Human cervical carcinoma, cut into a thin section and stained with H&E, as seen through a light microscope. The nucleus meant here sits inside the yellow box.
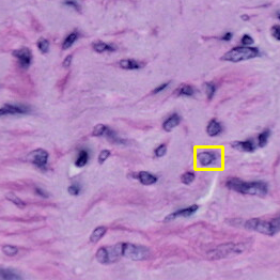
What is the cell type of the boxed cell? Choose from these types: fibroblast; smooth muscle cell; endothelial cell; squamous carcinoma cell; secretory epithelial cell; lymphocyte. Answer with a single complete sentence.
For cell typing purposes, the boxed cell is a smooth muscle cell.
